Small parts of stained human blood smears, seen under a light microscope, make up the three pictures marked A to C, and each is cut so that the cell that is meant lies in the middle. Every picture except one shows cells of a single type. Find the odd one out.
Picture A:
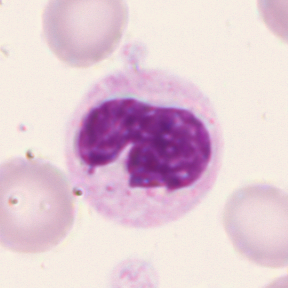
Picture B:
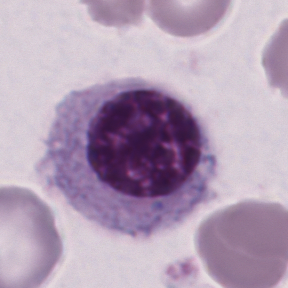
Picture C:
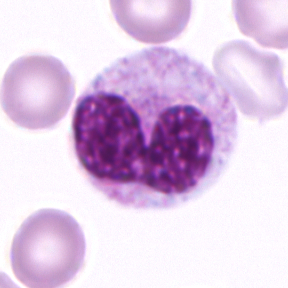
B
